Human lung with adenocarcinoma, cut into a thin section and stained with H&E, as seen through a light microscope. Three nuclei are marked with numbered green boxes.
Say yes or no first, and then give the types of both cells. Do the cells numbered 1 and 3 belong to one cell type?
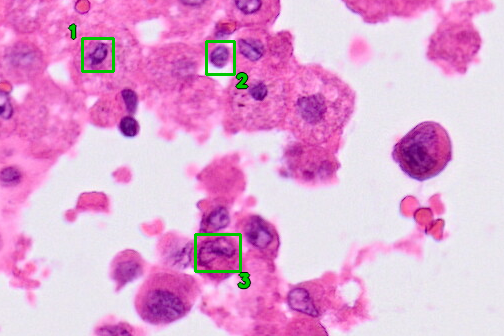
Yes, by cell type, cells 1 and 3 are both macrophages or monocytes.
